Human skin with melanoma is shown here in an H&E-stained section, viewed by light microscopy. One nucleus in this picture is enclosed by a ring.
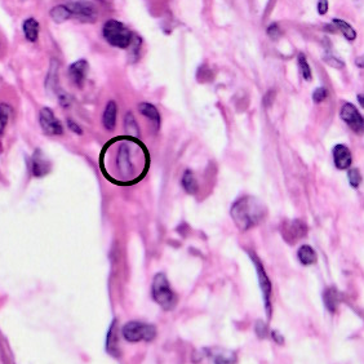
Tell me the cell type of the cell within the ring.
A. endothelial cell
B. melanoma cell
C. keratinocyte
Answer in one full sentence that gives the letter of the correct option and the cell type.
Option A is the correct one, since the cell within the ring is an endothelial cell.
